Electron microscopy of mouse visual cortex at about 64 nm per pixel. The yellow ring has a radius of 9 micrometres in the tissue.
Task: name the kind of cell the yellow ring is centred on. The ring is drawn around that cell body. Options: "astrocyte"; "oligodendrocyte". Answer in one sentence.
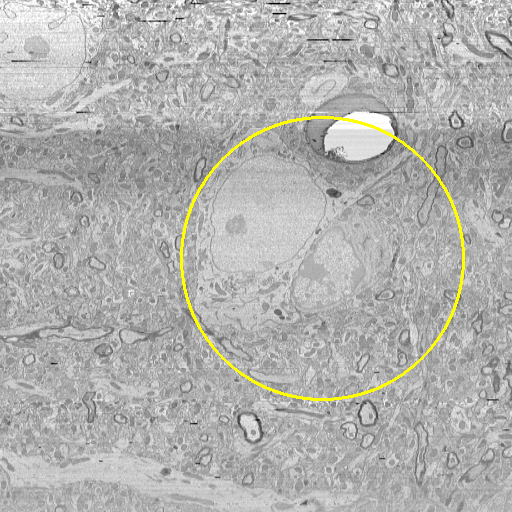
This cell body belongs to an oligodendrocyte.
